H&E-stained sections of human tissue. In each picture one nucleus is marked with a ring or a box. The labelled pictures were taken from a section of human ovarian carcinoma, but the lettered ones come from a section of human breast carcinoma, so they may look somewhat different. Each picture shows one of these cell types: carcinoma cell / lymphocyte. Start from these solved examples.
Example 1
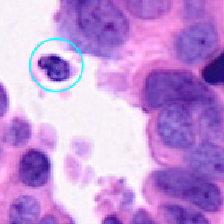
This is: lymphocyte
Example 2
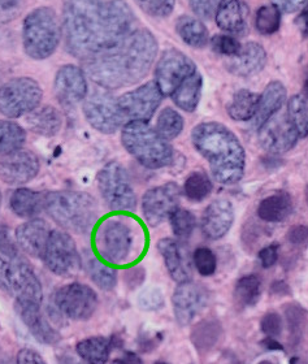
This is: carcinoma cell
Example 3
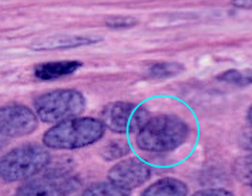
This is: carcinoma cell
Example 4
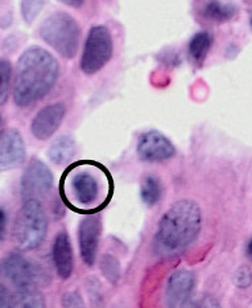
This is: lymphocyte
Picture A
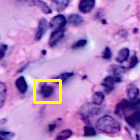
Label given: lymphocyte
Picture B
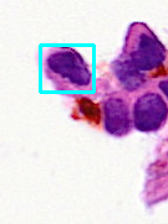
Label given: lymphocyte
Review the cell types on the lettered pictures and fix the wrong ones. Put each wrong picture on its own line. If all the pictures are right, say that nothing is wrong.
B should be carcinoma cell, not lymphocyte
